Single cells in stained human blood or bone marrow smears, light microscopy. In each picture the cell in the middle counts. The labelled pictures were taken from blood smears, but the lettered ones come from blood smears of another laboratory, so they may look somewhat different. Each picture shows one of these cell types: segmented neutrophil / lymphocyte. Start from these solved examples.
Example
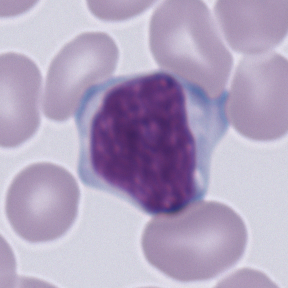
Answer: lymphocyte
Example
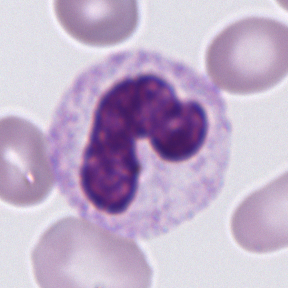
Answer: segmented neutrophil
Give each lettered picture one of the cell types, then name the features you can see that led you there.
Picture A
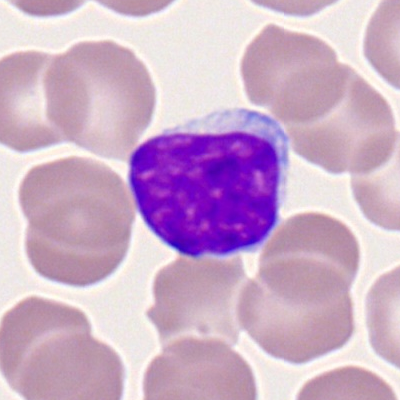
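Label: lymphocyte. The nucleus fills most of the cell.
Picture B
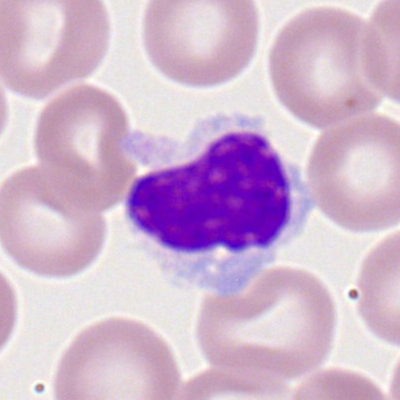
Label: lymphocyte. The nucleus fills most of the cell.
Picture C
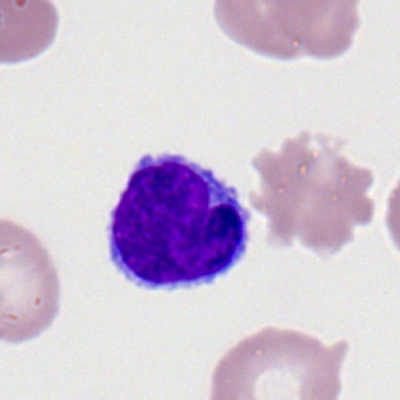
Label: lymphocyte. The cytoplasm is a scant pale blue rim around the nucleus.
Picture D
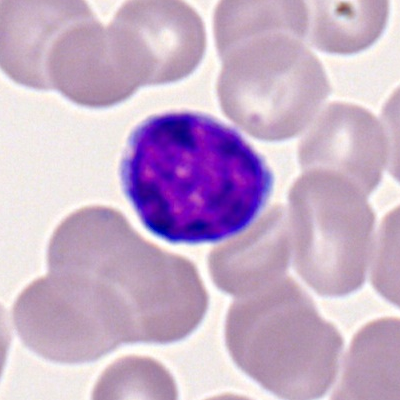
Label: lymphocyte. Cytoplasm is only a very thin pale blue rim, clearest along the left edge.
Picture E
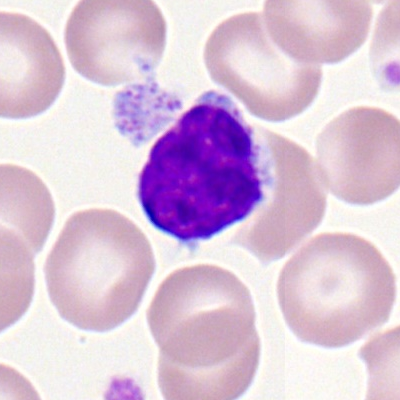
Label: lymphocyte. The cytoplasm is only a thin rim around the nucleus.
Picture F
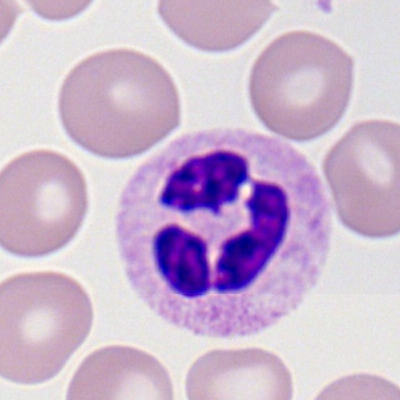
Label: segmented neutrophil. The cytoplasm is plentiful and pale pinkish-lilac.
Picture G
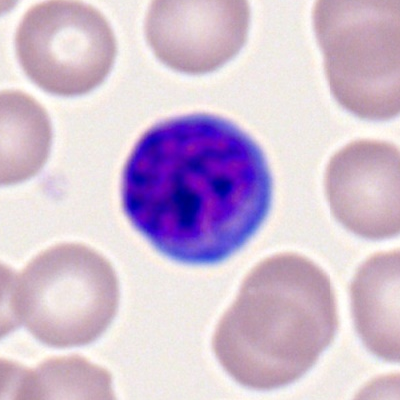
Label: lymphocyte. The cytoplasm is a thin blue rim, seen best along the lower edge.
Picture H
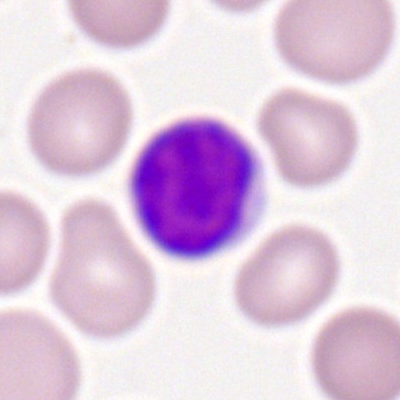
Label: lymphocyte. The nucleus fills almost the whole cell.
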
